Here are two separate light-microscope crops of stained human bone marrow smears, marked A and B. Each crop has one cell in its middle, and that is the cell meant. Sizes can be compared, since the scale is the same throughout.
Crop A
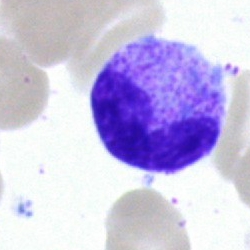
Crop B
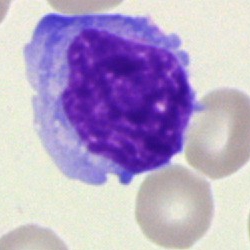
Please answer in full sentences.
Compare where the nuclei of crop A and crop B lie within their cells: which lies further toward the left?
The nucleus in crop A lies further toward the left of its cell.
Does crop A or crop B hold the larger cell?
Crop B holds the larger cell; it covers about 1.5 times the area of the cell in crop A.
